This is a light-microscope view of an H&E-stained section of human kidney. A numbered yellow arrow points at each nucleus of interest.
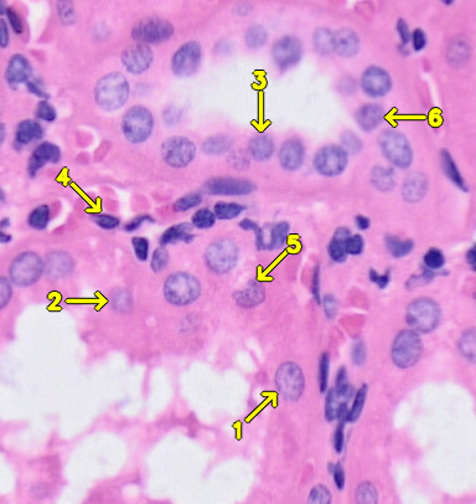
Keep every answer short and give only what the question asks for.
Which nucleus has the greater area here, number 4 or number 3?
3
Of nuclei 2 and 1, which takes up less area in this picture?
2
